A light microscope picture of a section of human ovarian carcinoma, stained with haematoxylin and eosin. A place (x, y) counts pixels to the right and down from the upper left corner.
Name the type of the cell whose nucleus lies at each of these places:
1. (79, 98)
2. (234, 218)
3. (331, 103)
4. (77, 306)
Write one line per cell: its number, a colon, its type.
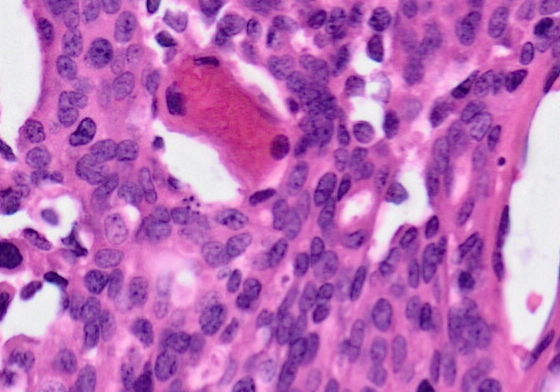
1: carcinoma cell
2: macrophage or monocyte
3: carcinoma cell
4: carcinoma cell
